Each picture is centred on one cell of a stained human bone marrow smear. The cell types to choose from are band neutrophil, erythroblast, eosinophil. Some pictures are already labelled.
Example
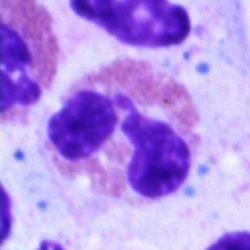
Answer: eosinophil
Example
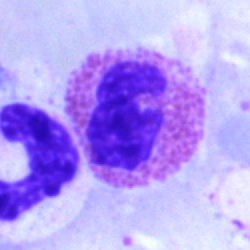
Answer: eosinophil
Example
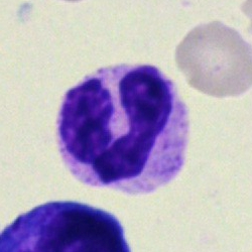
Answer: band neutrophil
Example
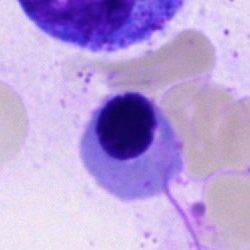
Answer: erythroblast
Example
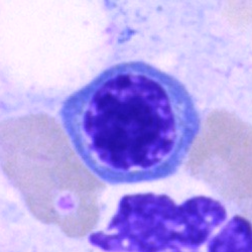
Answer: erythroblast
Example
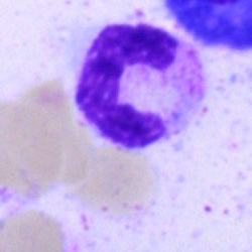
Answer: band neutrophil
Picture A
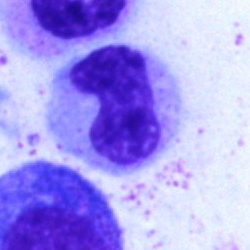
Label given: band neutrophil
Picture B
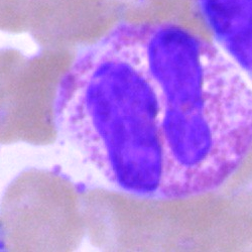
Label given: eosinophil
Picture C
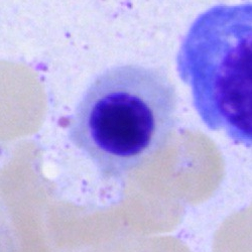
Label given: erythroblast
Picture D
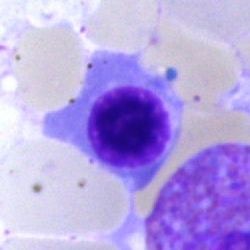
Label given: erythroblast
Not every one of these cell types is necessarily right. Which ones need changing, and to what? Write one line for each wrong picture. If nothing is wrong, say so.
All correct.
